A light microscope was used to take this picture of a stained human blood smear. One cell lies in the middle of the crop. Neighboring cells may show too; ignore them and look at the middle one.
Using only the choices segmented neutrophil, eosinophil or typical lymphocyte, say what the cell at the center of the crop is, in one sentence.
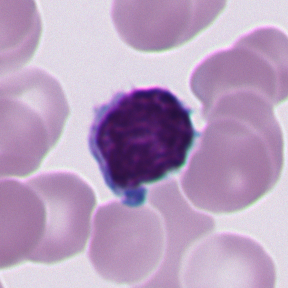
In the middle of this smear crop is a typical lymphocyte.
